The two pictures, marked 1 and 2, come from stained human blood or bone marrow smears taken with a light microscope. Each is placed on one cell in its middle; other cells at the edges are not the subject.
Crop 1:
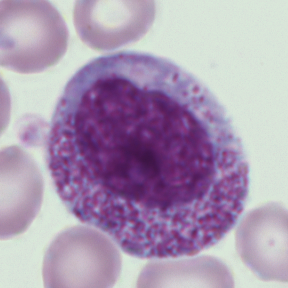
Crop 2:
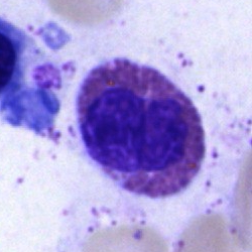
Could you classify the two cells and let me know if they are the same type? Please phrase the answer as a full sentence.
No, a promyelocyte is depicted by crop 1, an eosinophil by crop 2.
